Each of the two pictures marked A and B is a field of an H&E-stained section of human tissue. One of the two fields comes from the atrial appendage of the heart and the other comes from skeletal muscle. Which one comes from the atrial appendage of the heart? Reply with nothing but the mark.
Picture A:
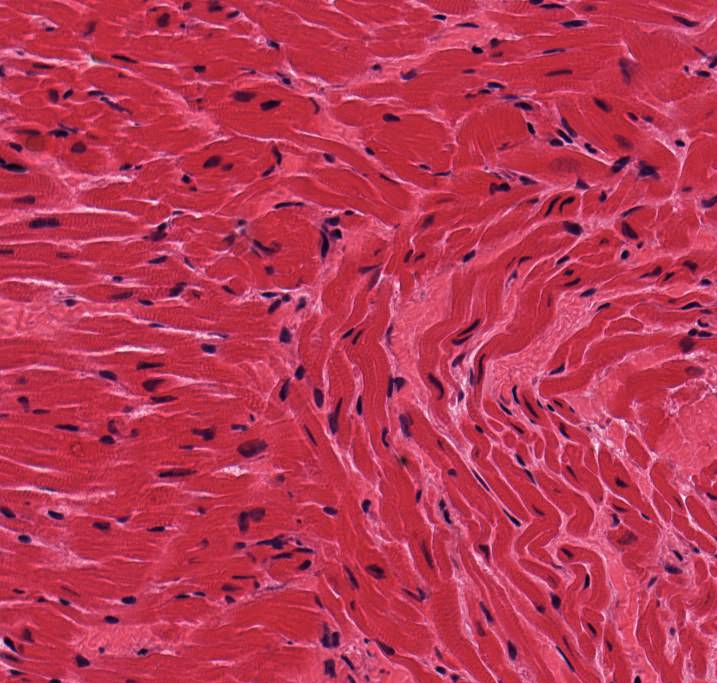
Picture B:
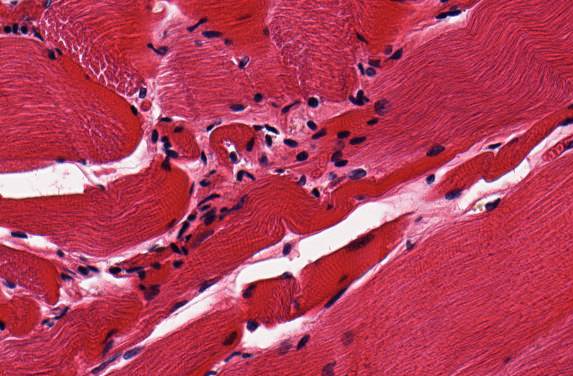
A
